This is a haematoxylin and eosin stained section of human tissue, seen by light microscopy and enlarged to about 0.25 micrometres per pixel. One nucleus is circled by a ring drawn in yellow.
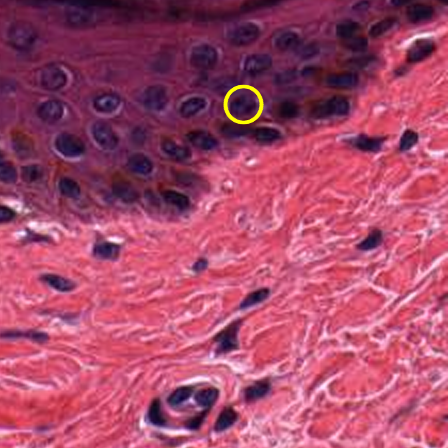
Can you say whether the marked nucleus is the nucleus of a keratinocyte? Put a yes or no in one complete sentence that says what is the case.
Yes, a keratinocyte holds the marked nucleus.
